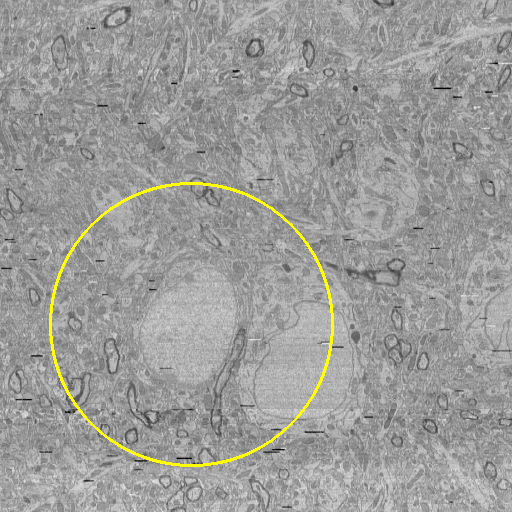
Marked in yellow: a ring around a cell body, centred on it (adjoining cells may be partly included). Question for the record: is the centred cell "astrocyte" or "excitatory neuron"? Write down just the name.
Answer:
astrocyte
